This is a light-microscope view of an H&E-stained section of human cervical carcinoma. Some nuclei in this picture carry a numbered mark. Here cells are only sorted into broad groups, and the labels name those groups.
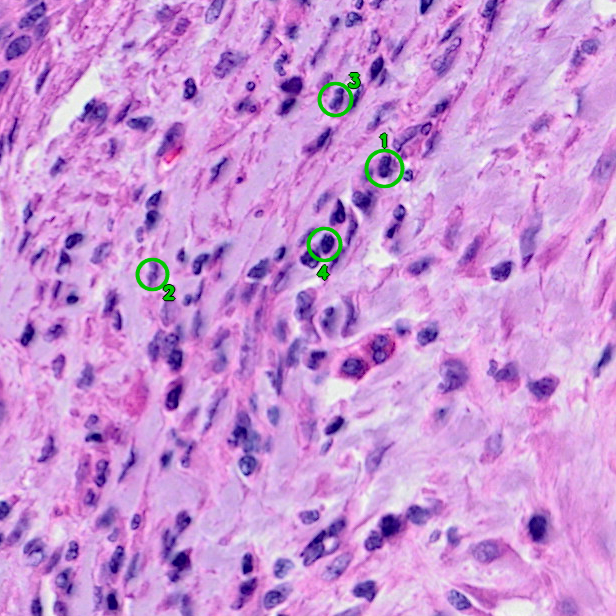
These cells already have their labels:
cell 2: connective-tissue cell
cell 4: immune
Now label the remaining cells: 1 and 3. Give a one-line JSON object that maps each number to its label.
{"1": "immune", "3": "immune"}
